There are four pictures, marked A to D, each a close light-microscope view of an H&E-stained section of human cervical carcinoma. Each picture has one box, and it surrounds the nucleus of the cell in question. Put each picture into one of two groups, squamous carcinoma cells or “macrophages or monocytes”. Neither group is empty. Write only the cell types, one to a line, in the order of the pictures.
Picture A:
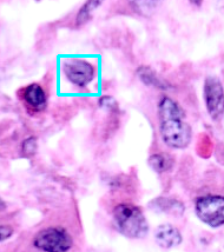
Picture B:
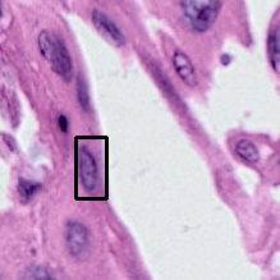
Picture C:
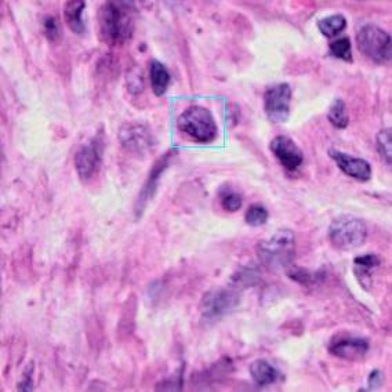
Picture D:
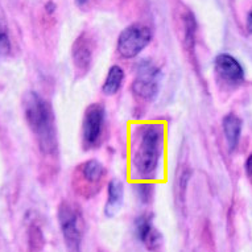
macrophage or monocyte
squamous carcinoma cell
macrophage or monocyte
macrophage or monocyte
